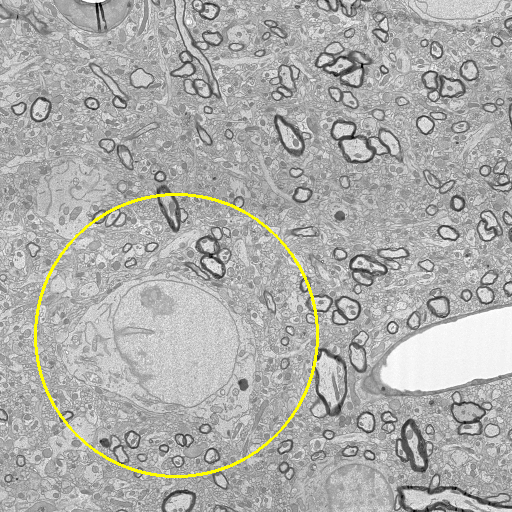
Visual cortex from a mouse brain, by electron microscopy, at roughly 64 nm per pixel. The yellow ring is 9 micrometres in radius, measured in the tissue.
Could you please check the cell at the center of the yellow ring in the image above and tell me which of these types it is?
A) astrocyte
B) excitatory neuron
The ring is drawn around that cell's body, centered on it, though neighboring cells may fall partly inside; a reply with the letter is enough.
B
